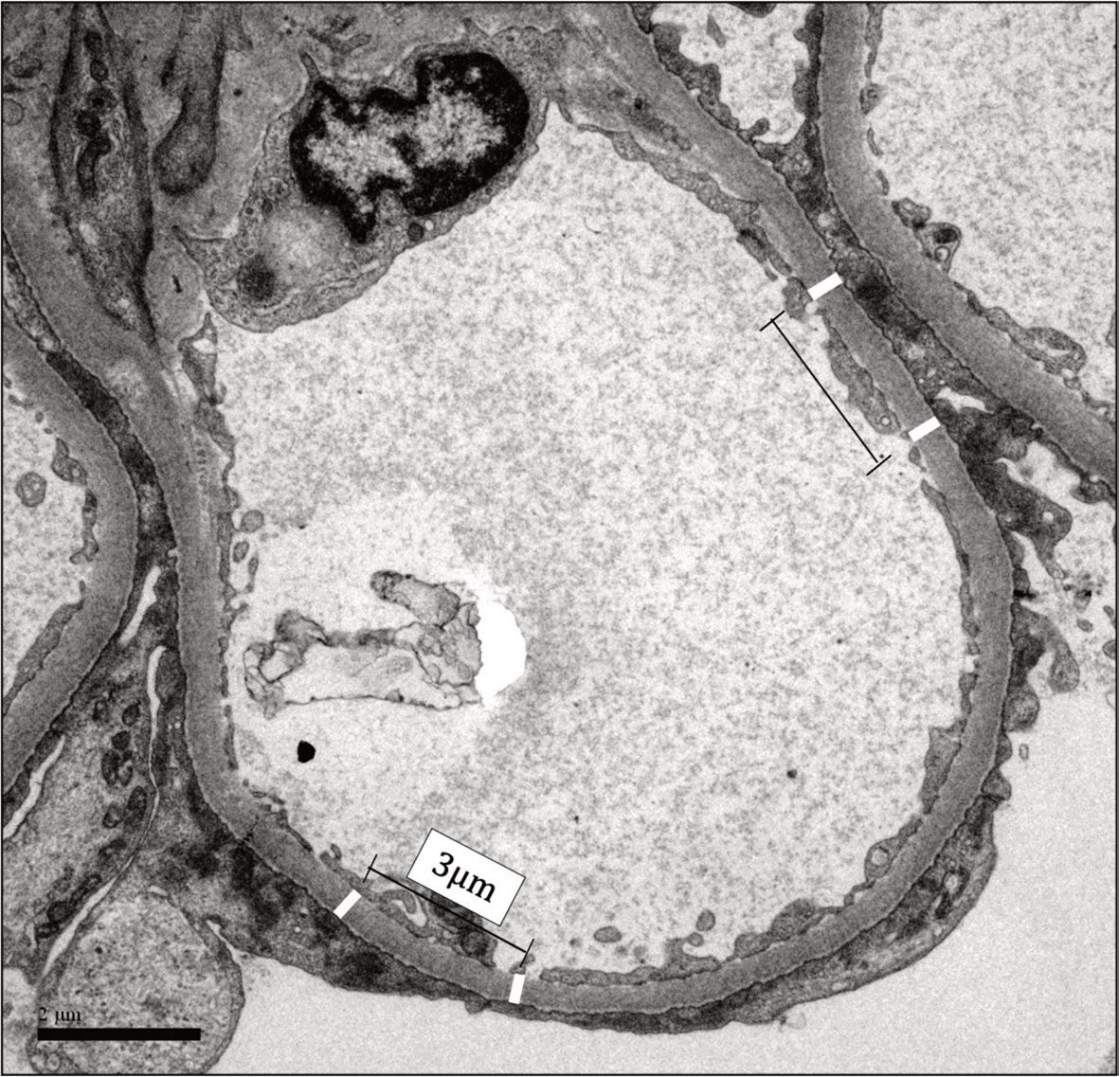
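Transmission electron micrograph of a glomerular capillary loop, with a wide, pale, finely granular lumen enclosed by a thick, homogeneous grey basement membrane band. Along the outer face of the band lie dark, irregular cell processes. A thin attenuated cytoplasmic layer lines the inner face. At the upper left, a cell with a dense, irregularly lobed nucleus abuts the loop, and adjacent loops with similar walls border the field.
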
